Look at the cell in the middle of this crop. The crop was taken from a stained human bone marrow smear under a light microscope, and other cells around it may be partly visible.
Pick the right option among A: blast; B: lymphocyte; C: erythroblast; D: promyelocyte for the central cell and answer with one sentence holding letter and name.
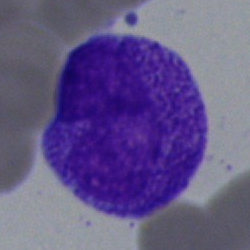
The best answer is option D, since the cell in the middle is a promyelocyte.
